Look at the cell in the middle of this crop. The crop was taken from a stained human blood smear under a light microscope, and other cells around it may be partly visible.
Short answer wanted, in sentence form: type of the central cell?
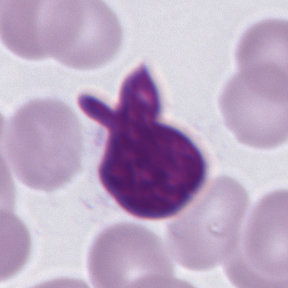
For this crop, the central cell is a smudge cell.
